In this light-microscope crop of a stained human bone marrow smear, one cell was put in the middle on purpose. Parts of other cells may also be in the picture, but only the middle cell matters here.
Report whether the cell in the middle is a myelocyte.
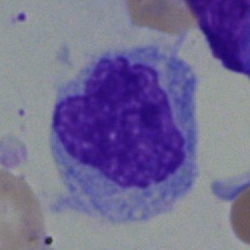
no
